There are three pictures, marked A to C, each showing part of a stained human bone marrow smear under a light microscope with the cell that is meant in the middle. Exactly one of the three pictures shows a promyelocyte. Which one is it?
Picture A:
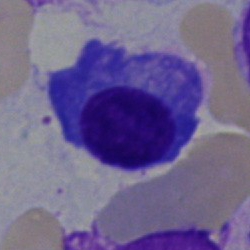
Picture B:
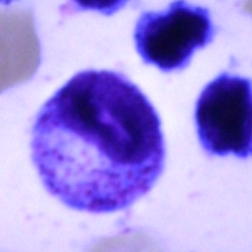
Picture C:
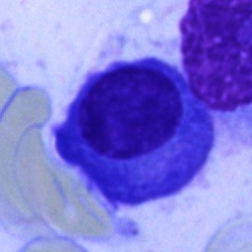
B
